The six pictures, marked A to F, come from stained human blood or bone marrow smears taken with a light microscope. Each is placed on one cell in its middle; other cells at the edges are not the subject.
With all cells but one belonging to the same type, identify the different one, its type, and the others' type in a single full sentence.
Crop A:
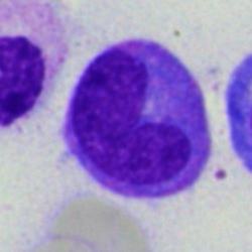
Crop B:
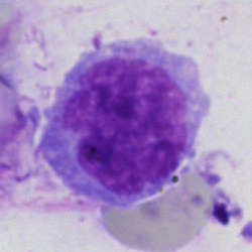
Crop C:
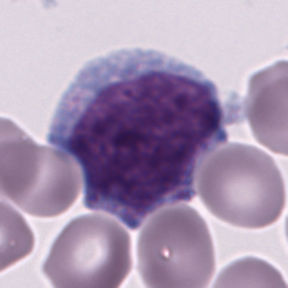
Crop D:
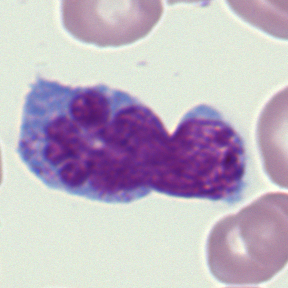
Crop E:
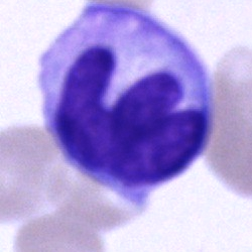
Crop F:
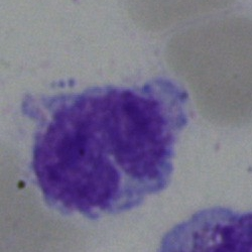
Crop C is the exception here: it is a promyelocyte, and the others are monocytes.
